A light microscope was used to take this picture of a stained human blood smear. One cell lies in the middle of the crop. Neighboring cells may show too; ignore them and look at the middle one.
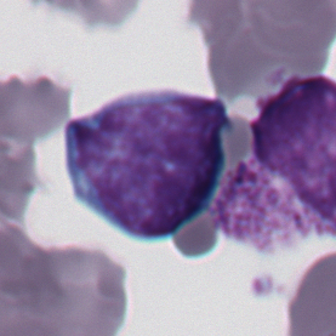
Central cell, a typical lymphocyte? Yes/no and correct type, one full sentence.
Yes, a typical lymphocyte occupies the middle of the crop.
